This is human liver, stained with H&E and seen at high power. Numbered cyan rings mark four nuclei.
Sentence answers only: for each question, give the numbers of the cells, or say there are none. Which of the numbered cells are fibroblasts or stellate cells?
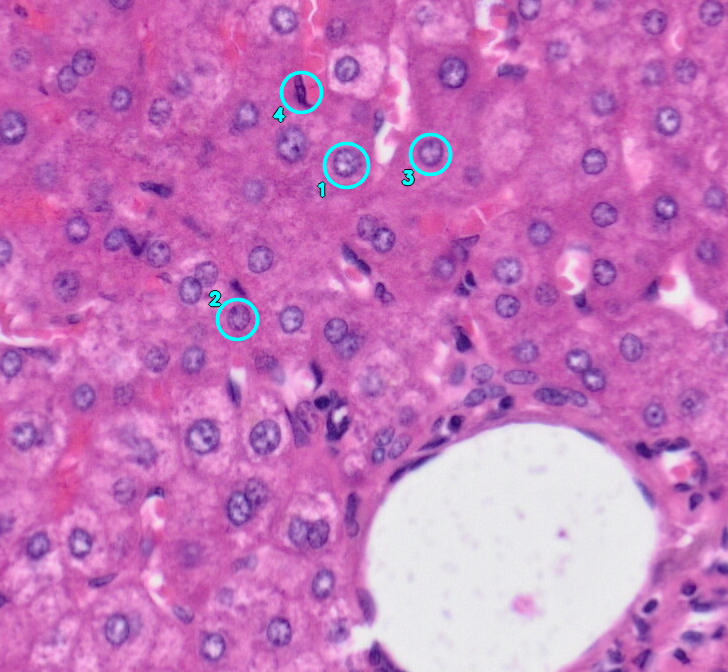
The count of fibroblasts or stellate cells among the numbered cells is zero.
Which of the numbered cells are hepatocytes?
Cells numbered 1, 2 and 3 belong to the group of hepatocytes.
